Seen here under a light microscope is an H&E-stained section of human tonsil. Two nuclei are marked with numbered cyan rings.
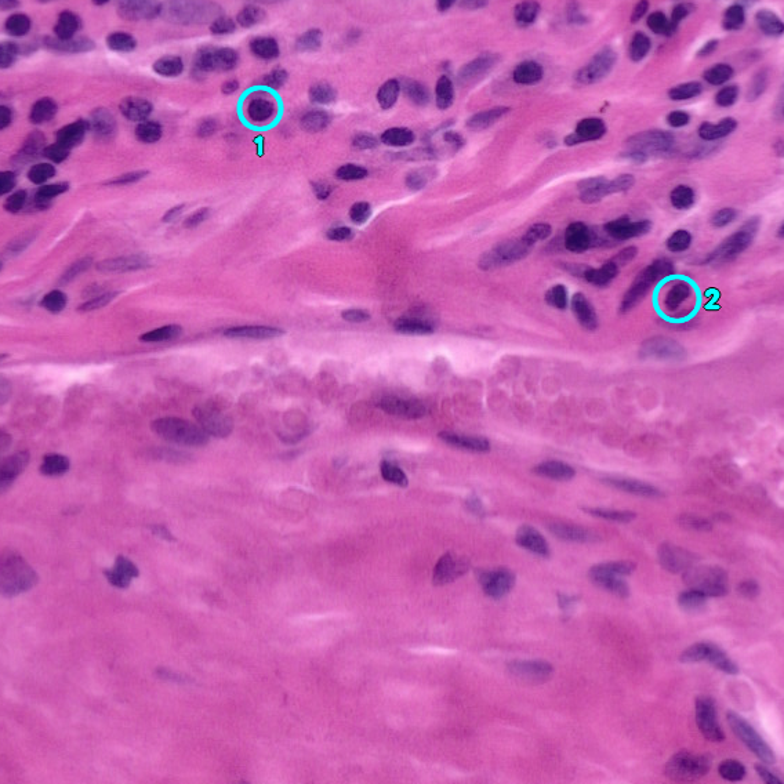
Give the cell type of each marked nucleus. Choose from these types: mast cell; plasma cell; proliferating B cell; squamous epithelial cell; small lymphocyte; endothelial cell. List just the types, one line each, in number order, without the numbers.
plasma cell
mast cell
